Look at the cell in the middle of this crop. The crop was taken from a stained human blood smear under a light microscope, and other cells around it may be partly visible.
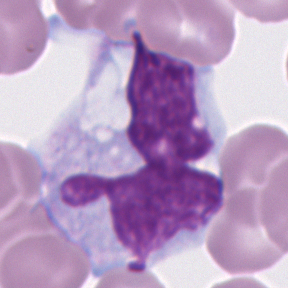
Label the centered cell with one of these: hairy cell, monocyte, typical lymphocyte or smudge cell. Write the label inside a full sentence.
The cell centred in this crop is categorized as a monocyte.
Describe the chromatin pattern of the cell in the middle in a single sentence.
The chromatin shows a fine pattern without coarse clumps.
